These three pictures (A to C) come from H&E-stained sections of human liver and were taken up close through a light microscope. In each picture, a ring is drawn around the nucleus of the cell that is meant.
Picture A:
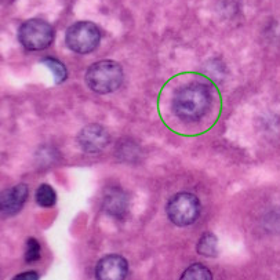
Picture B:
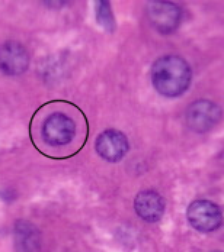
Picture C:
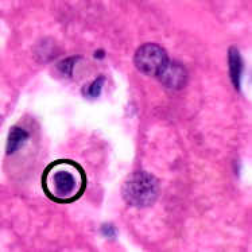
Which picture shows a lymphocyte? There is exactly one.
C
